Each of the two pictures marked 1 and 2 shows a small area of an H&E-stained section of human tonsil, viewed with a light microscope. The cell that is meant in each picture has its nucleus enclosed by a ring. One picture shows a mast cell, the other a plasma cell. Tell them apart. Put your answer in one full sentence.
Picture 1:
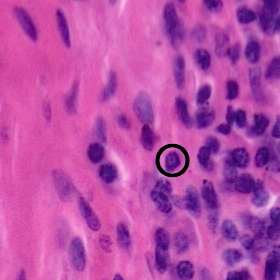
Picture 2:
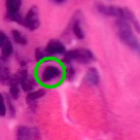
Picture 2 shows a plasma cell, while picture 1 shows a mast cell.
